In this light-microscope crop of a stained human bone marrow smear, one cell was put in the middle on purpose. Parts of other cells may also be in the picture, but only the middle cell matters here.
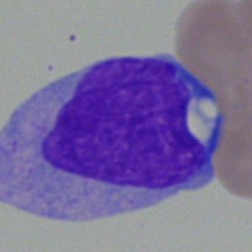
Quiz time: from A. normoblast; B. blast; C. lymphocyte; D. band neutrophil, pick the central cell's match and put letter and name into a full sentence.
The cell in the centre of the crop is a blast, so option B is the correct one.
